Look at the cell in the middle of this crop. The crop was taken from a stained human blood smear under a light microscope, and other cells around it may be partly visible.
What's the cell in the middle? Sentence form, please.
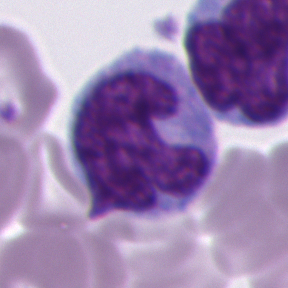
The centered cell in this crop is a monocyte.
